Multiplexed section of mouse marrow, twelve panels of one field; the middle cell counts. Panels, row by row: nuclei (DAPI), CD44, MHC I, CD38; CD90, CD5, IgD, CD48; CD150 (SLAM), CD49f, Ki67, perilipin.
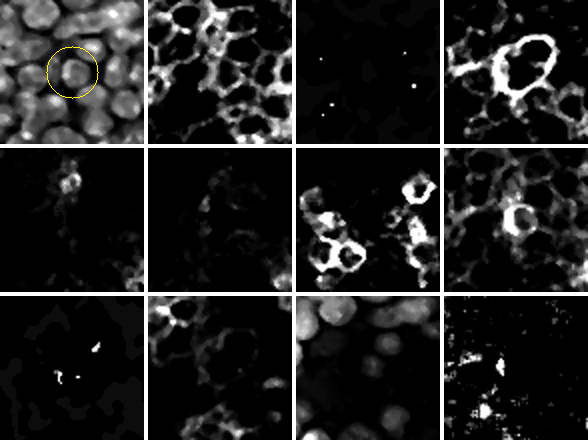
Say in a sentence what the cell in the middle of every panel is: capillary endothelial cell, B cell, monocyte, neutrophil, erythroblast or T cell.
This is a monocyte.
